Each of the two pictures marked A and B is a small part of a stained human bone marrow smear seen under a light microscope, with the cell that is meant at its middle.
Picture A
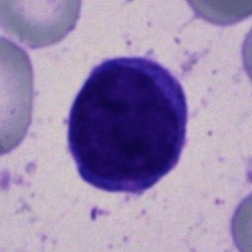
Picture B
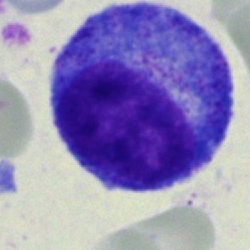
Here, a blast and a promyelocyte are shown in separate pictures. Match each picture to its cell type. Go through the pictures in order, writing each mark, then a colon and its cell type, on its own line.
A: blast
B: promyelocyte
